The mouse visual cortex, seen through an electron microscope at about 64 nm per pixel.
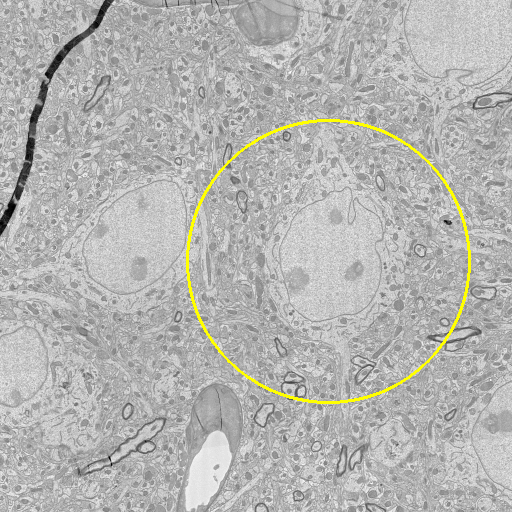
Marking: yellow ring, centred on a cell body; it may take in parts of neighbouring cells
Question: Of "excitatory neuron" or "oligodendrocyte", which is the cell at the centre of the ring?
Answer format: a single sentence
The ring surrounds the body of an excitatory neuron.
